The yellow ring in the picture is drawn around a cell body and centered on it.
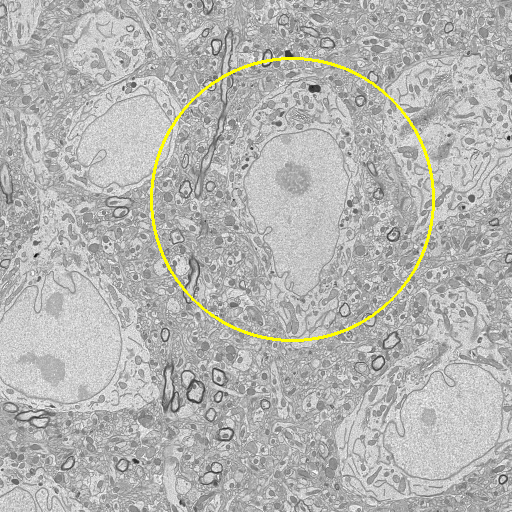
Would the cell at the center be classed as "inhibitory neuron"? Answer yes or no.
Yes, it belongs to that class.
